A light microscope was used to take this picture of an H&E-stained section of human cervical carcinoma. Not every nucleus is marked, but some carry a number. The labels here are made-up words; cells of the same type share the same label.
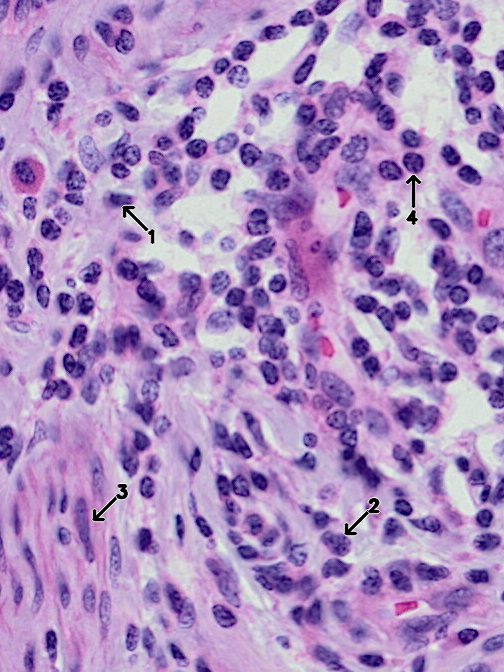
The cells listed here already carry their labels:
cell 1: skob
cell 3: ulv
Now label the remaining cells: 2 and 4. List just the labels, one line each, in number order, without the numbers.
skob
skob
